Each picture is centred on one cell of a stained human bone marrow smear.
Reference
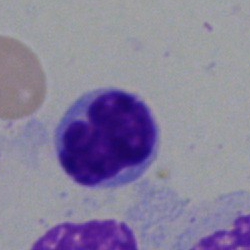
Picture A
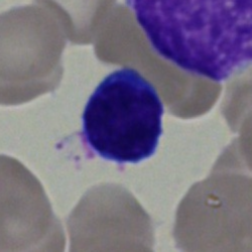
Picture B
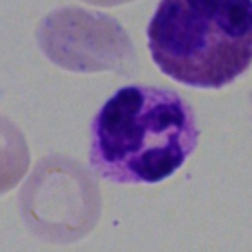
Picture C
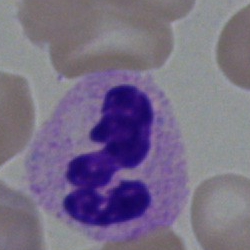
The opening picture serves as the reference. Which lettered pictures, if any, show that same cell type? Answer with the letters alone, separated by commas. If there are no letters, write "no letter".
A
